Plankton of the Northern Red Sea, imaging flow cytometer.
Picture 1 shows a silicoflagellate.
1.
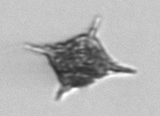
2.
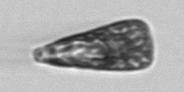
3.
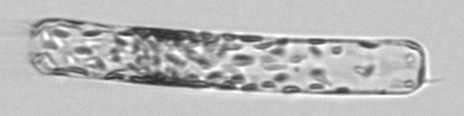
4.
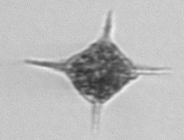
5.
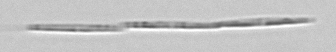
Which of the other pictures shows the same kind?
Picture 4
